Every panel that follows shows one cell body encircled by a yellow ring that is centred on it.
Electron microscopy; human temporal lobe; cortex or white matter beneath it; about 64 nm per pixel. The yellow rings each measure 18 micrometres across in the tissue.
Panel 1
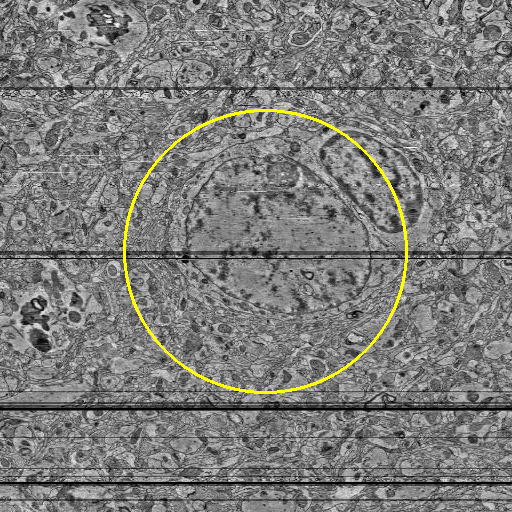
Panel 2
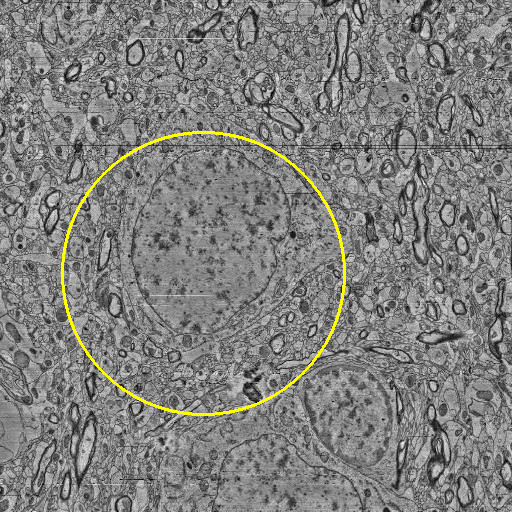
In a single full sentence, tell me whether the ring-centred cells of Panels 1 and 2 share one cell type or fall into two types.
In Panel 1 and Panel 2, the cells at the ring centres share one cell type.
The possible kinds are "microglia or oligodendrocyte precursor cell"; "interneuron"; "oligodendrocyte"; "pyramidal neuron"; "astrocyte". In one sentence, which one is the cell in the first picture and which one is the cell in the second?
In both pictures the ring is centred on a pyramidal neuron.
